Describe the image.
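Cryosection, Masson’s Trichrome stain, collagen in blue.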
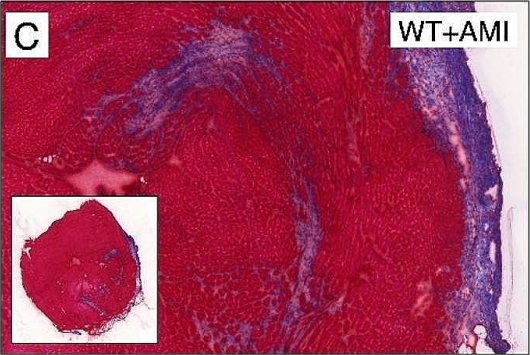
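A wide blue fibrous band runs along the outer edge of the section, and a second curved blue band sweeps through the muscle further inside. Within these bands the tissue has a loose, streaky fibrous texture rather than the compact red of intact muscle. Around them the red muscle fibres remain densely packed, with a few pale vessel lumens scattered between them. The small inset shows the whole round cross-section of the heart, with blue patches at one side.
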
